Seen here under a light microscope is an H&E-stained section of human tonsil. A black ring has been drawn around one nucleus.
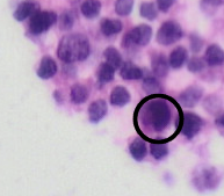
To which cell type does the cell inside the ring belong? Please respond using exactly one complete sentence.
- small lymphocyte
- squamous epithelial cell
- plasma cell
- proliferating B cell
In cellular terms, the cell inside the ring is a proliferating B cell.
